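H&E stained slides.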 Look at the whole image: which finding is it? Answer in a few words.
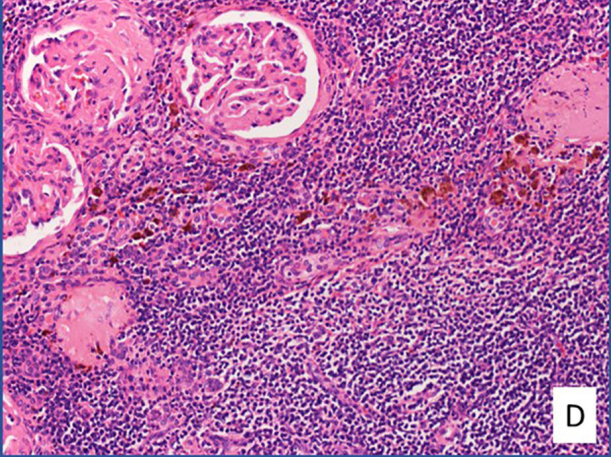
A: Chronic tubulointerstitial nephritis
